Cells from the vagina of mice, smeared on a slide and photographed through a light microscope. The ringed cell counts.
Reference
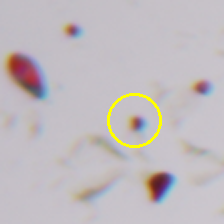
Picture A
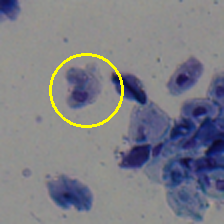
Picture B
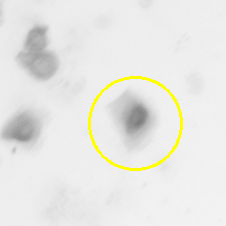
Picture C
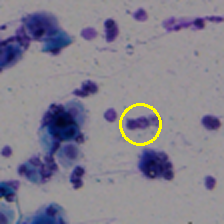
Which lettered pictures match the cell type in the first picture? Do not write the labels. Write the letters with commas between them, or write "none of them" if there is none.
C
